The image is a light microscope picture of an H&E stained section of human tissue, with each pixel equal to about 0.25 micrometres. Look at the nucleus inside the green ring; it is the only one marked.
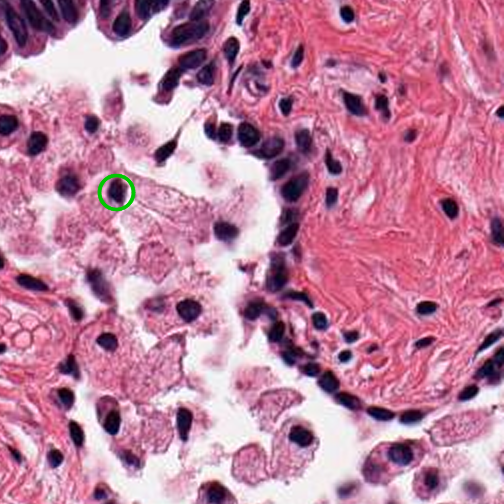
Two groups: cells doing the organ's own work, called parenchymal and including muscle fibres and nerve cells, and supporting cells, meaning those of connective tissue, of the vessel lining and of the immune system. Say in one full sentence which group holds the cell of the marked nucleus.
A supporting cell contains the marked nucleus.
